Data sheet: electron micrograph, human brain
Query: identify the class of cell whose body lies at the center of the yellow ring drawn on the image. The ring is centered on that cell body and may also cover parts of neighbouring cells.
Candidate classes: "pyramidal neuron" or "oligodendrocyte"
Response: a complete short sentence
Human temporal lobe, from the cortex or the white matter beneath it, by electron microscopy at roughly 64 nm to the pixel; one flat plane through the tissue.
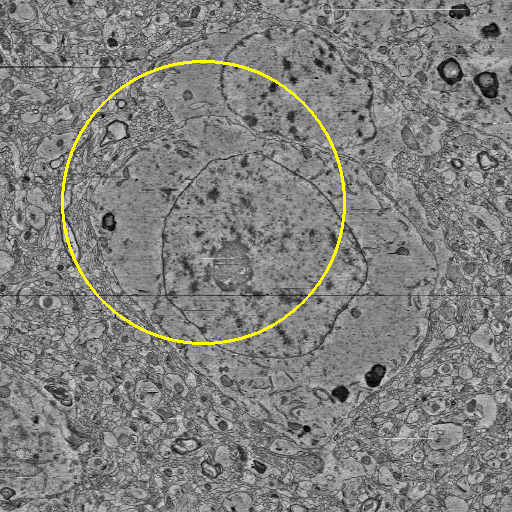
At the center of the ring lies a pyramidal neuron.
